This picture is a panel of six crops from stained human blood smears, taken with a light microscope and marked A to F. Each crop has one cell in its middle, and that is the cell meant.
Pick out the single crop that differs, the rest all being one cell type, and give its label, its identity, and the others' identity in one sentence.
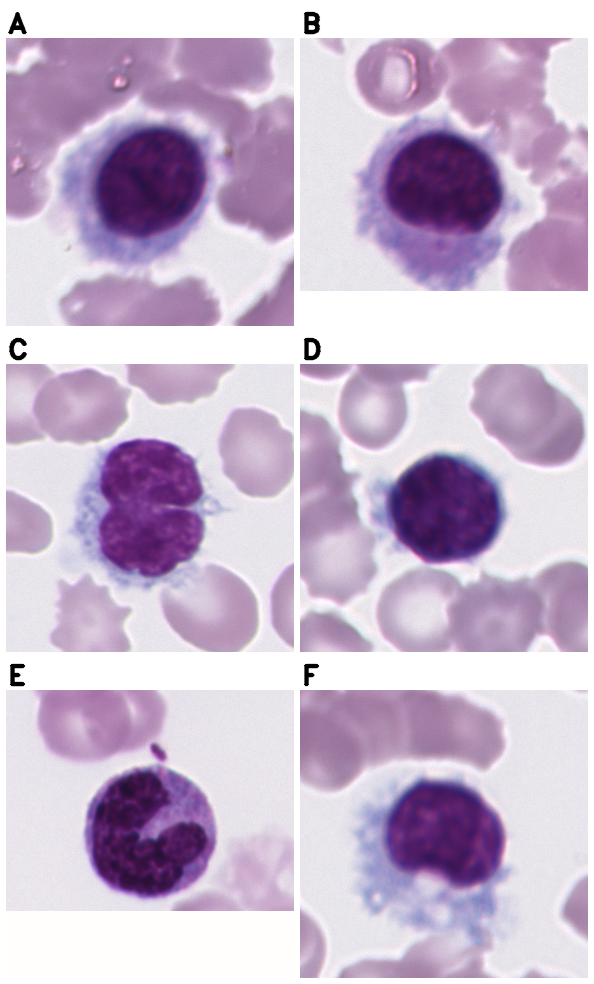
Here the outlier is crop E, which is a monocyte, and the rest are hairy cells.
